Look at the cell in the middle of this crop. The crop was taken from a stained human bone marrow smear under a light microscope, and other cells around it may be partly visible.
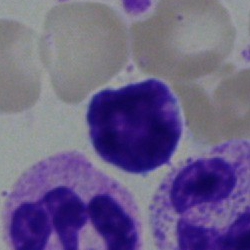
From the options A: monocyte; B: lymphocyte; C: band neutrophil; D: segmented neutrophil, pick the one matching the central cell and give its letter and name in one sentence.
That cell in the center is a lymphocyte, hence option B.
